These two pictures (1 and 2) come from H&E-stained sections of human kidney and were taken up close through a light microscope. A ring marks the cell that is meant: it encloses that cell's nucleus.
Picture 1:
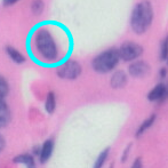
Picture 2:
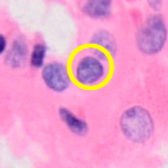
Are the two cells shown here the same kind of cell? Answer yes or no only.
yes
